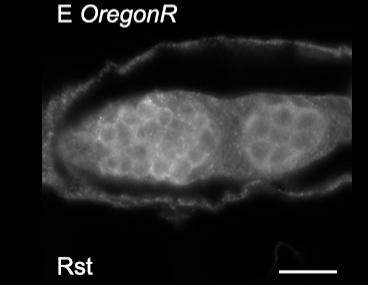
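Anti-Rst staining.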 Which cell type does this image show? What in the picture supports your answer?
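Germline. The thin outer sheath is only faintly stained.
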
